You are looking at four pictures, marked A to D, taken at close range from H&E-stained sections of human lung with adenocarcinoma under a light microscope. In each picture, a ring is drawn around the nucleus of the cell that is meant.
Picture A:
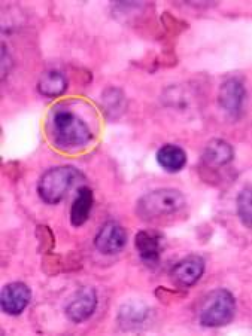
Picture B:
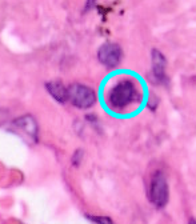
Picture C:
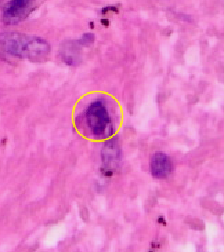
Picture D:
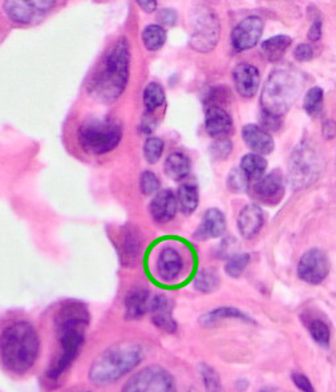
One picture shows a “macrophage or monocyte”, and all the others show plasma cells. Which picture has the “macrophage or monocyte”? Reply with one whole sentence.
The cell in picture A is the “macrophage or monocyte”.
